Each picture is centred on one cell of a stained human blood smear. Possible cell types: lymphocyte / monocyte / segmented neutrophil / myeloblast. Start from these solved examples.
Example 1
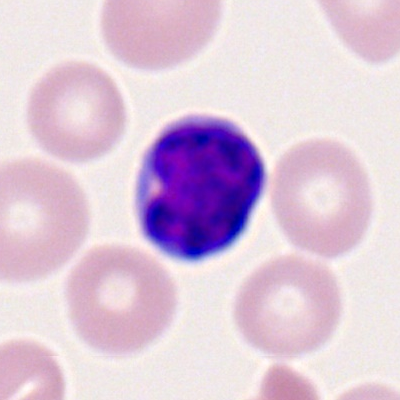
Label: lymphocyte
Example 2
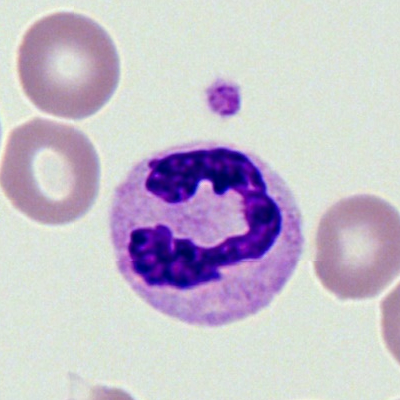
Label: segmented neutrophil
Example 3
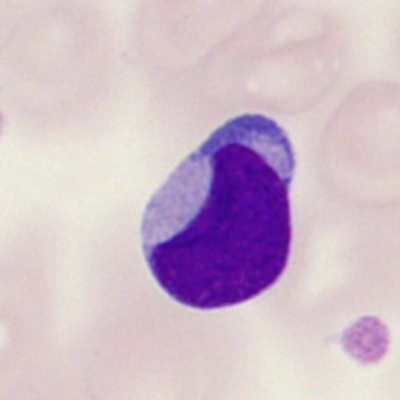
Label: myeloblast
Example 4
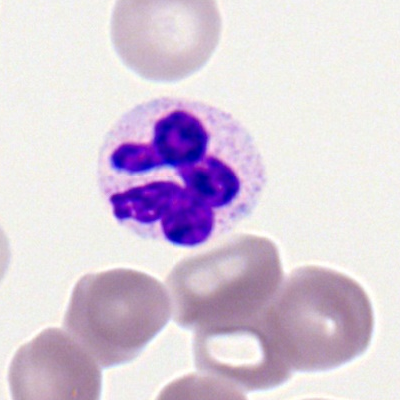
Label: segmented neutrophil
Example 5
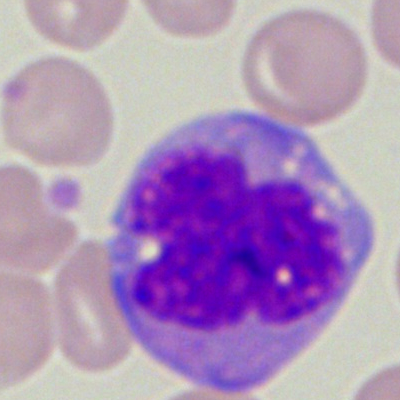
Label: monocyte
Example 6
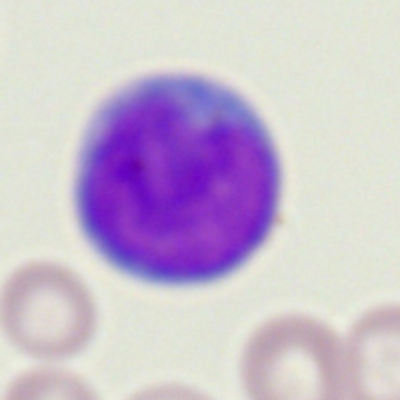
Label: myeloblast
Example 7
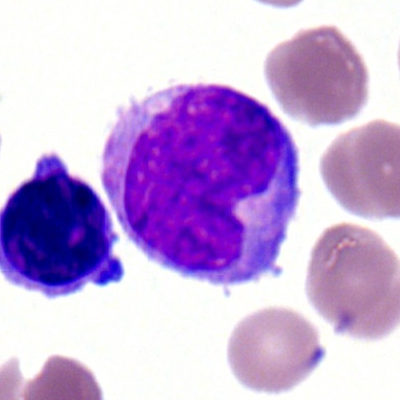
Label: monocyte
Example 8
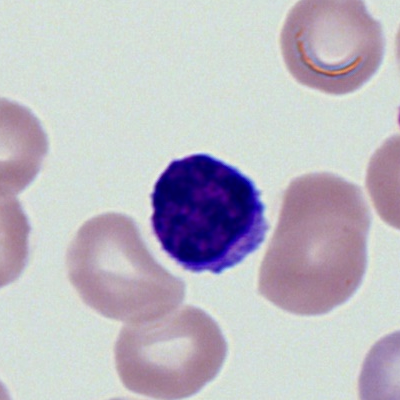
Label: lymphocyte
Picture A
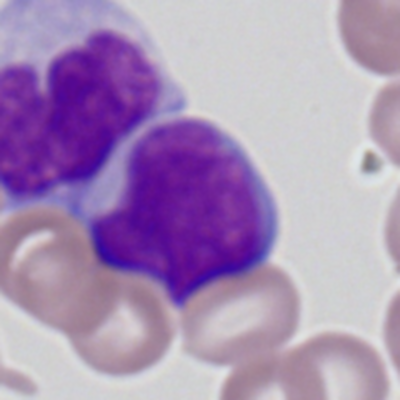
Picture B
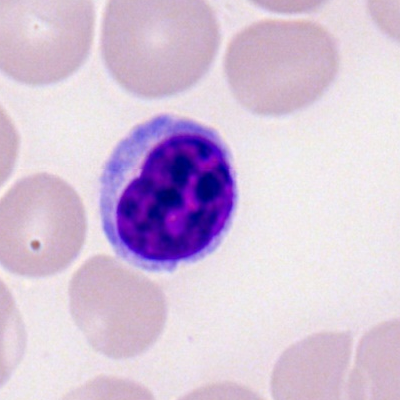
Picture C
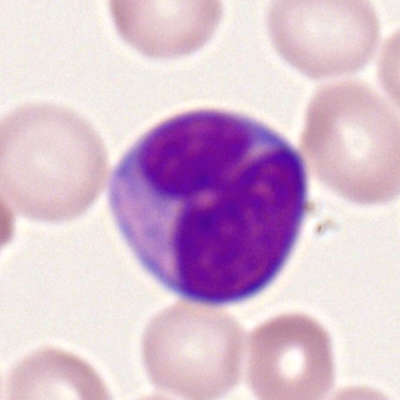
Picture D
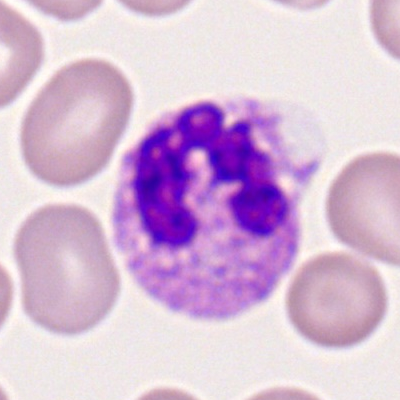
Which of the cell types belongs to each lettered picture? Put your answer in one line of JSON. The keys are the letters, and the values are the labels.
{"A": "myeloblast", "B": "lymphocyte", "C": "myeloblast", "D": "segmented neutrophil"}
